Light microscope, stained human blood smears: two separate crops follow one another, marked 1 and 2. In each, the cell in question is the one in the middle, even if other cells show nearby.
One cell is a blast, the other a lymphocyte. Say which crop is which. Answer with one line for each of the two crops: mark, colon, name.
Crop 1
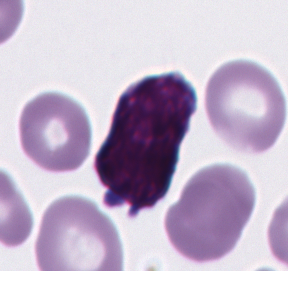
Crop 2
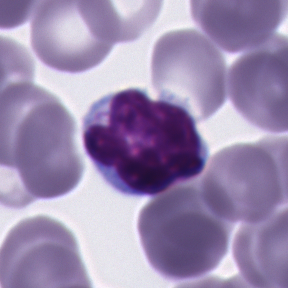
1: blast
2: lymphocyte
